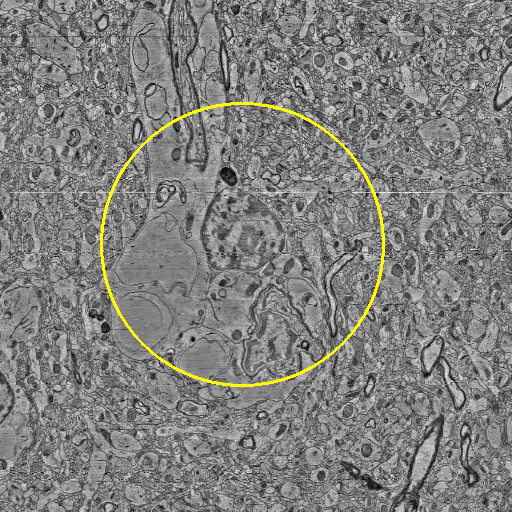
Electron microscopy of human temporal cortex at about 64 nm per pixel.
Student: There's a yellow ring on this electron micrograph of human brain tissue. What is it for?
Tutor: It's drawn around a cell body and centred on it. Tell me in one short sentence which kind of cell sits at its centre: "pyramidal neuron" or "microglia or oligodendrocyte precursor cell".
The cell at the centre of the ring is a microglial cell or oligodendrocyte precursor cell.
